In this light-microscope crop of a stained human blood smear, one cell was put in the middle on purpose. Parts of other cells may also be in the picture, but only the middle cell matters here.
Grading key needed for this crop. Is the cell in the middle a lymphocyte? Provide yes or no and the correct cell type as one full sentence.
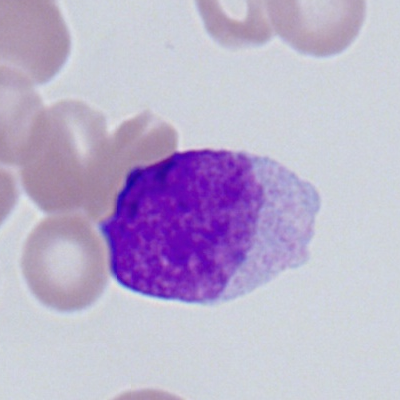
No, looking at the central cell, it is a myeloblast rather than a lymphocyte.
